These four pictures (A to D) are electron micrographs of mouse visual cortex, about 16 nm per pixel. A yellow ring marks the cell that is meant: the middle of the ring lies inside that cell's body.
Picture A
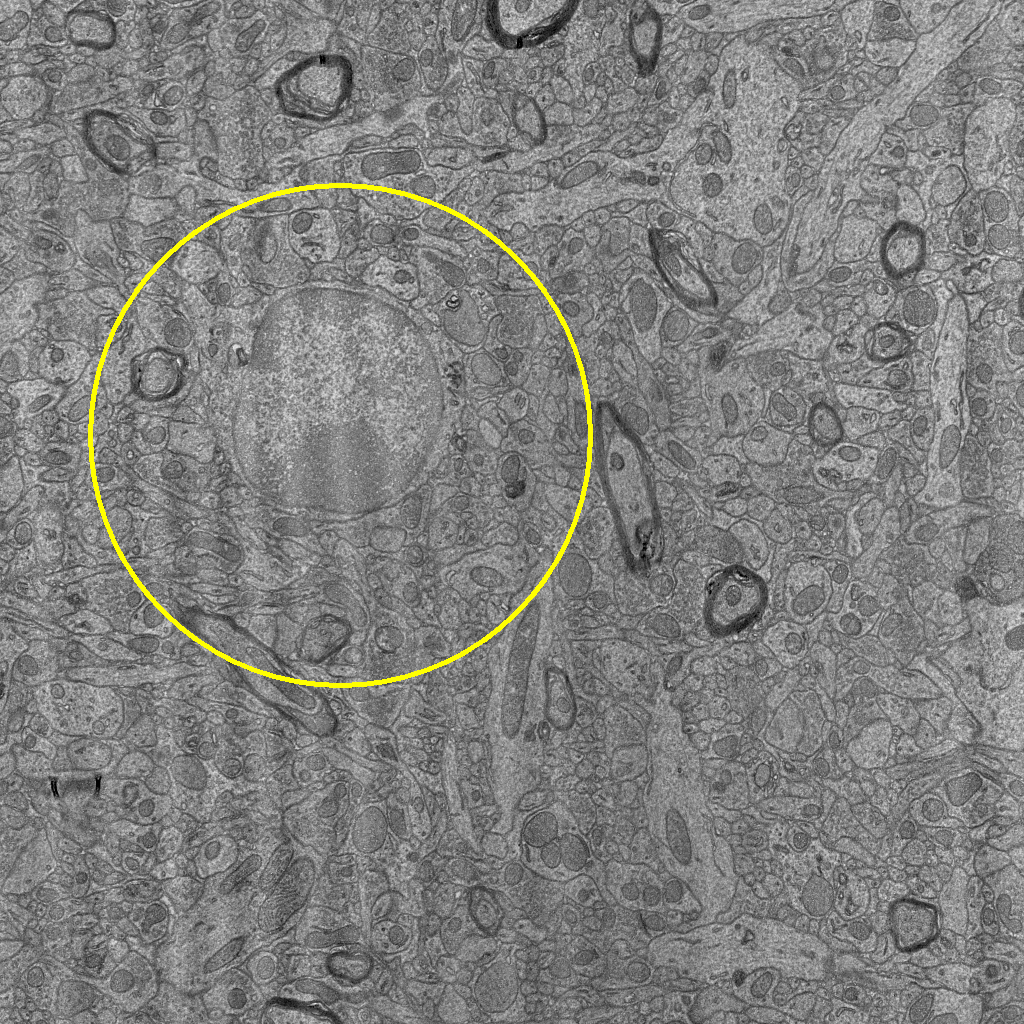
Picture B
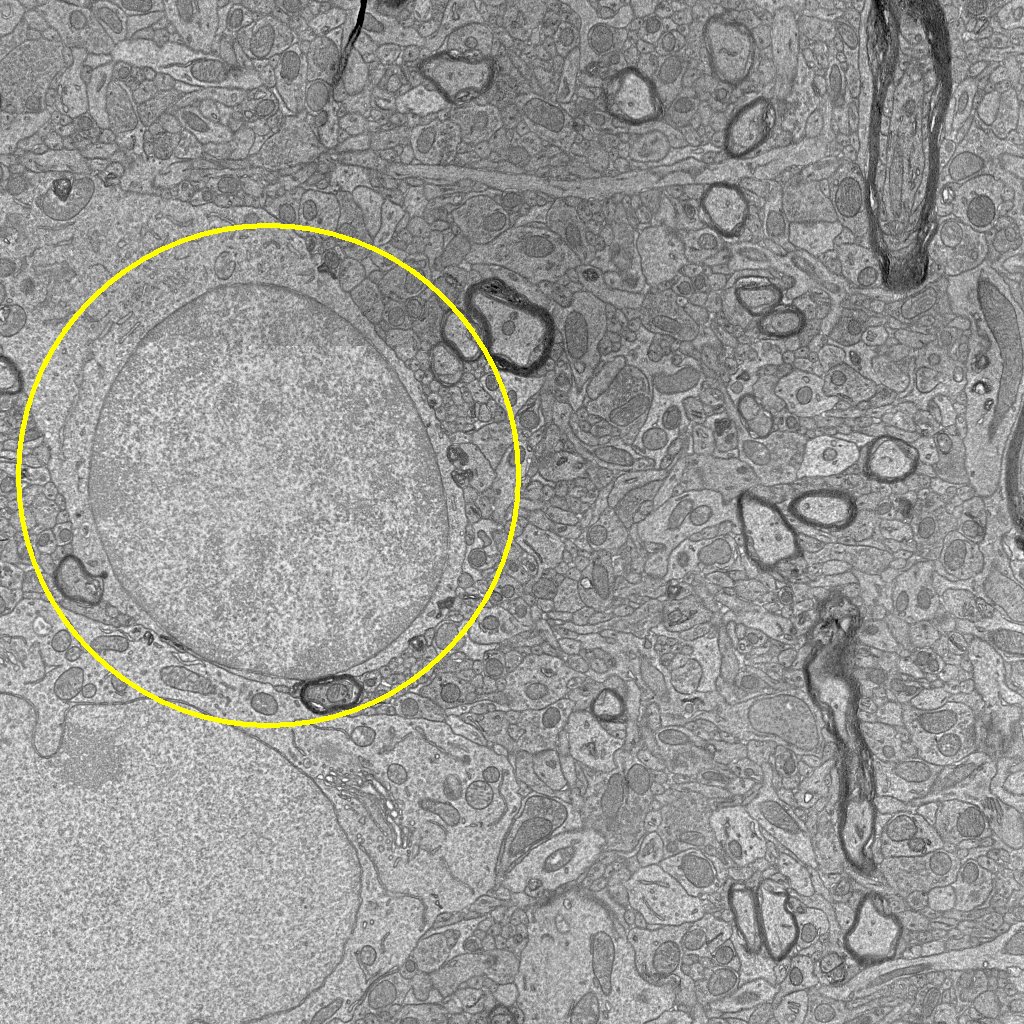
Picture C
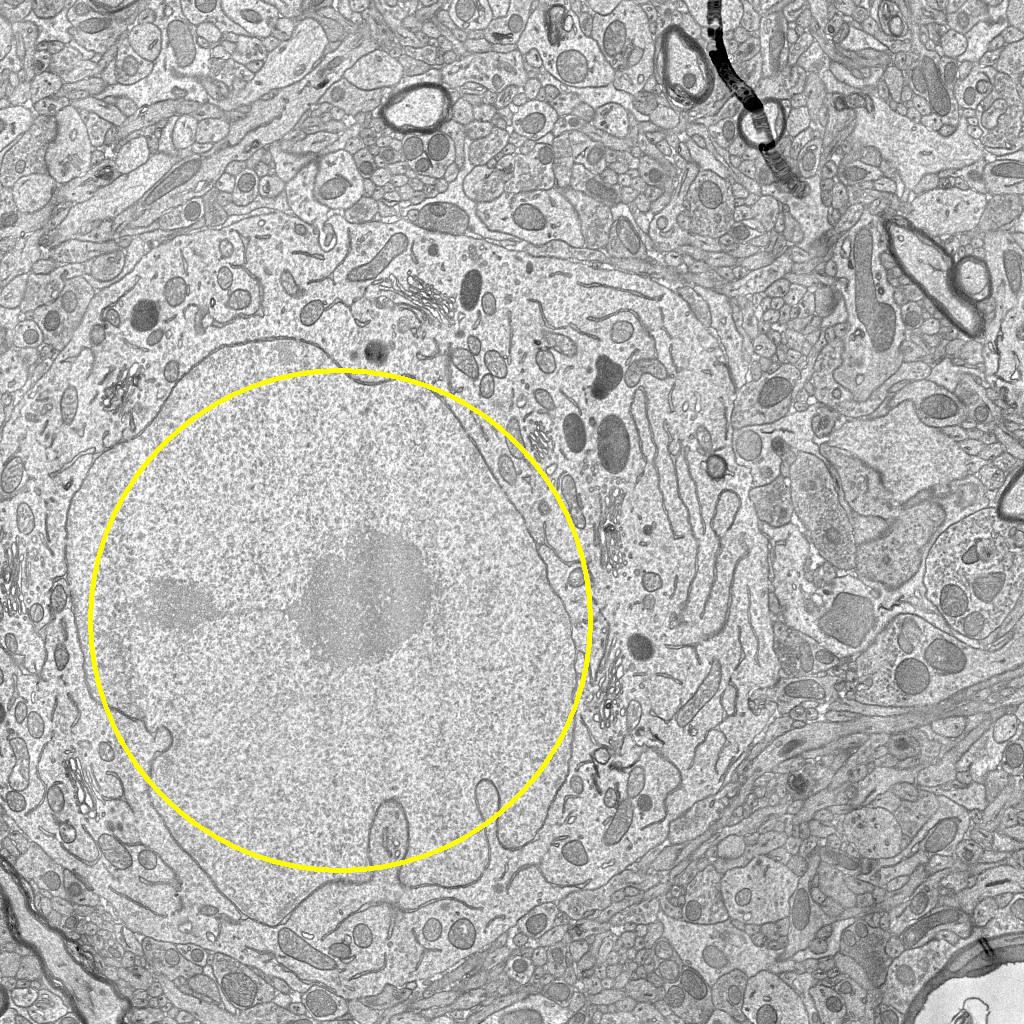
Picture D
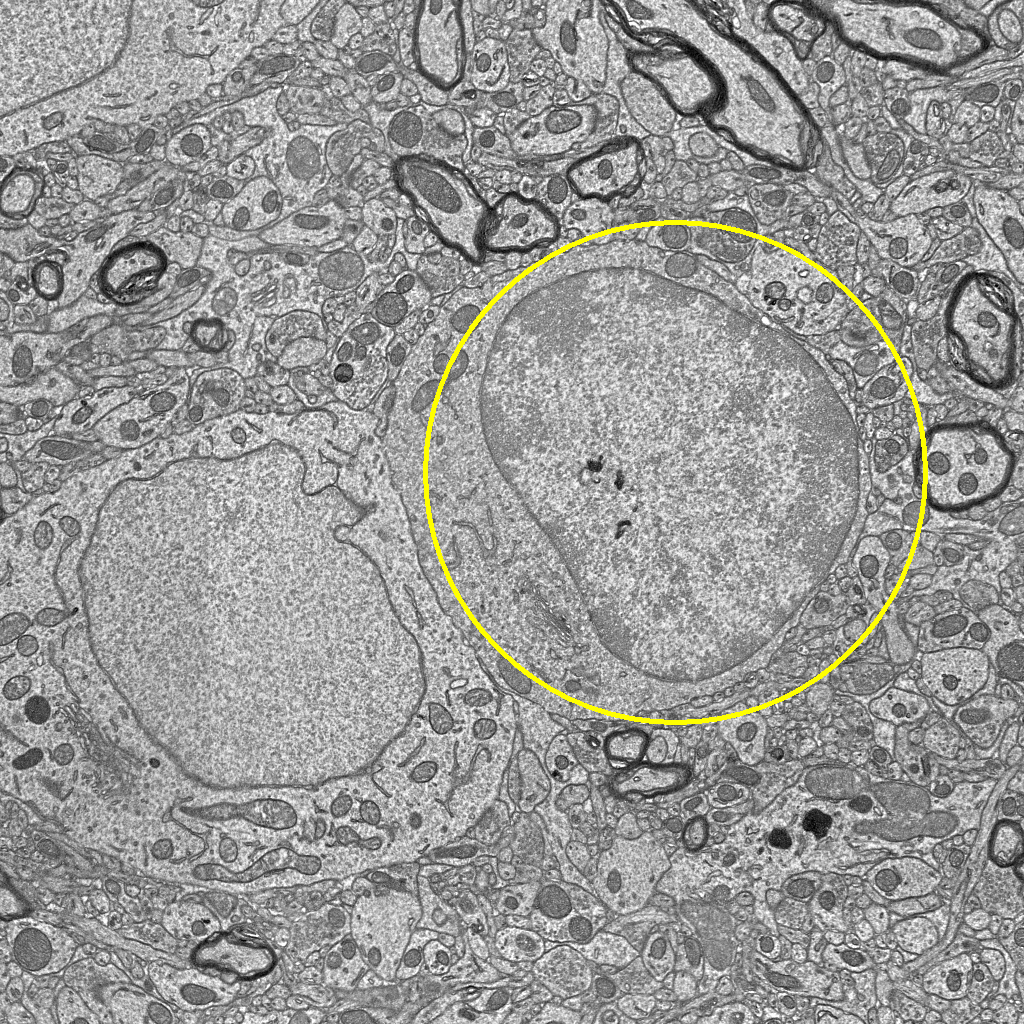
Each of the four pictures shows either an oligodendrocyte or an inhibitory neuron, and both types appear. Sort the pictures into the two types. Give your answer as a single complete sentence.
Pictures A, B and D show oligodendrocytes, while picture C shows an inhibitory neuron.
